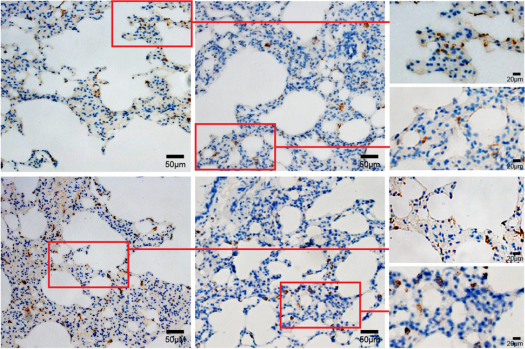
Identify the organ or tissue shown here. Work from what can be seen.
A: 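Thin-walled septa enclose many large empty airspaces. The tissue has a lace-like alveolar pattern. So: lung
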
